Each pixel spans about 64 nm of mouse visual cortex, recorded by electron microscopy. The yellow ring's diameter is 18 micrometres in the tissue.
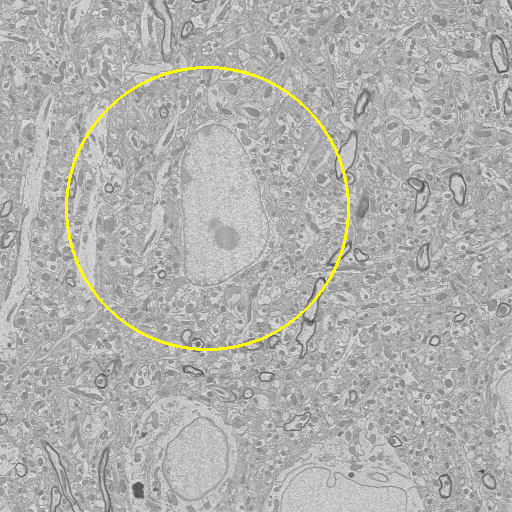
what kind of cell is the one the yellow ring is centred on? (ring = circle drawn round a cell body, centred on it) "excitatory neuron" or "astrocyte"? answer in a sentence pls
The ring is drawn around an astrocyte.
